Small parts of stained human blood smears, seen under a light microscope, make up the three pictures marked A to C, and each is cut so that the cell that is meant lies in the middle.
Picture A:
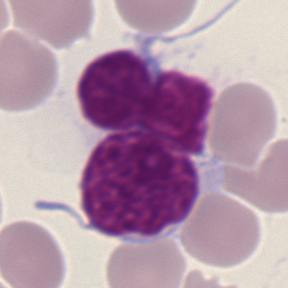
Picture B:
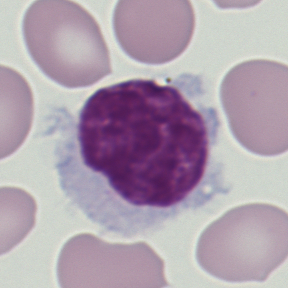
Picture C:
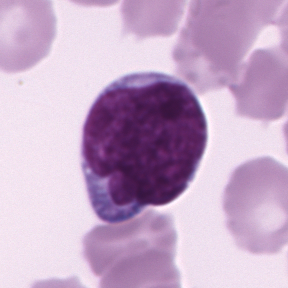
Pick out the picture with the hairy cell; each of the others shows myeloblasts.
B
